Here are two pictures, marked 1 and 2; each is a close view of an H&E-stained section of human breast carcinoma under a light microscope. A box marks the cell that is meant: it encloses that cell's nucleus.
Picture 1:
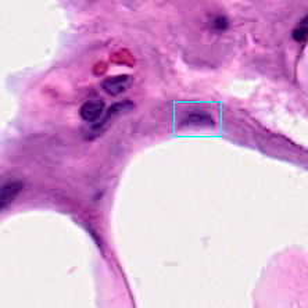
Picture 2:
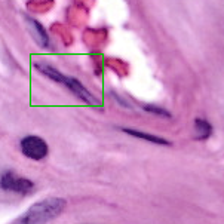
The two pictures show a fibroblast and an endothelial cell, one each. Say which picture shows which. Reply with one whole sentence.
The cell in picture 1 is a fibroblast, and the one in picture 2 is an endothelial cell.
